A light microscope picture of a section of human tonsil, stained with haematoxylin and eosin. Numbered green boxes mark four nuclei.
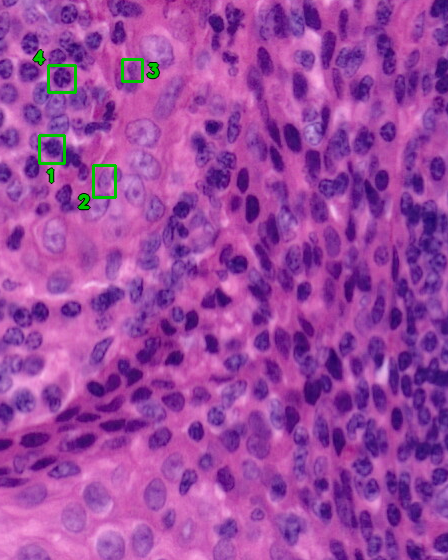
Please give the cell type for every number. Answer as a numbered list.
1. plasma cell
2. endothelial cell
3. endothelial cell
4. plasma cell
